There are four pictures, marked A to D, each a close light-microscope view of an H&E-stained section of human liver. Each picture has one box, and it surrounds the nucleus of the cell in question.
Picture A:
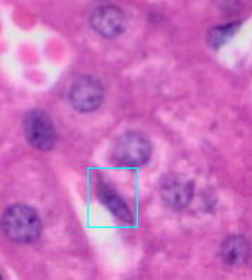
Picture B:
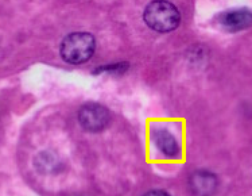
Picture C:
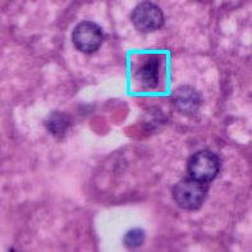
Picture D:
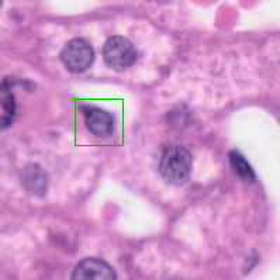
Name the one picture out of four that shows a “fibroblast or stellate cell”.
C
